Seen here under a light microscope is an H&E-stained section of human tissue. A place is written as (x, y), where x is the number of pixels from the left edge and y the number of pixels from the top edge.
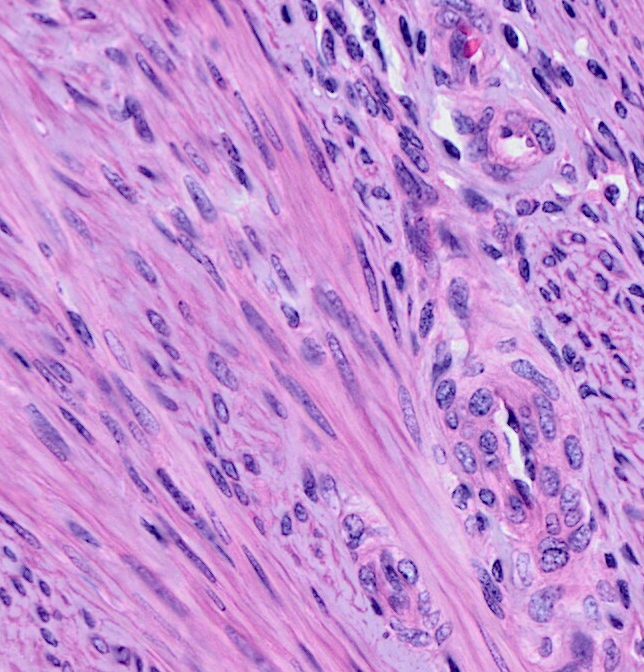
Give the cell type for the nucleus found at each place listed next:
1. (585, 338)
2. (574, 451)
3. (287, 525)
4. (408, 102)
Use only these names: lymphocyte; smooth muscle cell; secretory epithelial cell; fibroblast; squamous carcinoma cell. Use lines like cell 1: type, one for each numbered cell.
cell 1: smooth muscle cell
cell 2: smooth muscle cell
cell 3: smooth muscle cell
cell 4: lymphocyte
